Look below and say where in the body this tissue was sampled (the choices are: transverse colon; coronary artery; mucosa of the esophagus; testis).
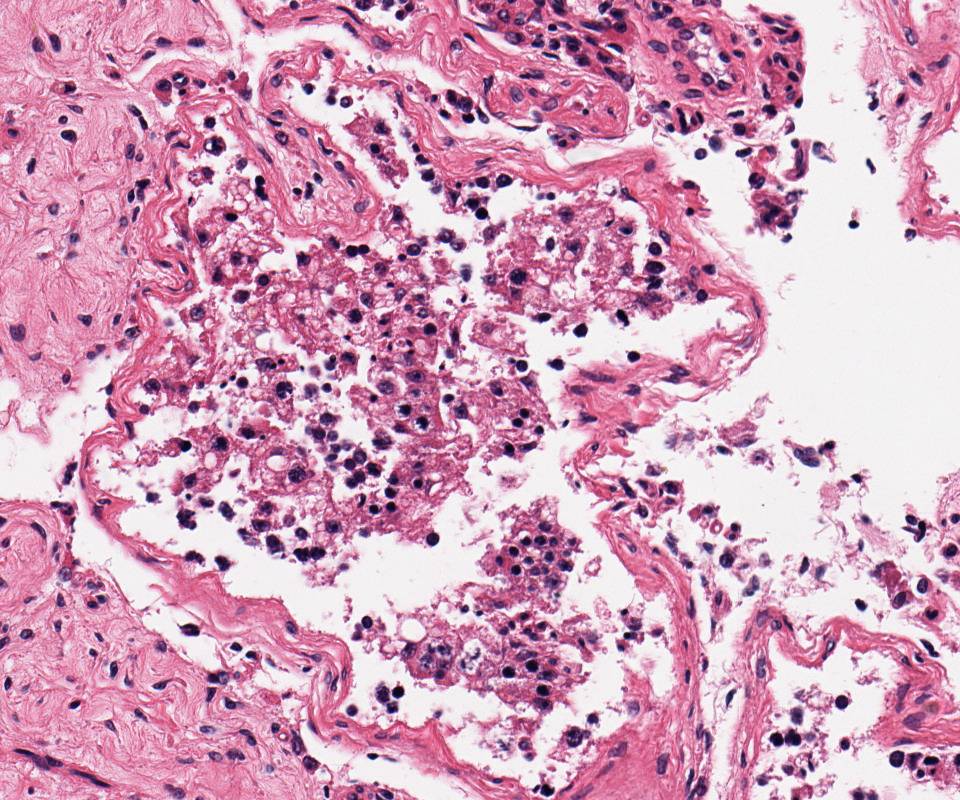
testis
